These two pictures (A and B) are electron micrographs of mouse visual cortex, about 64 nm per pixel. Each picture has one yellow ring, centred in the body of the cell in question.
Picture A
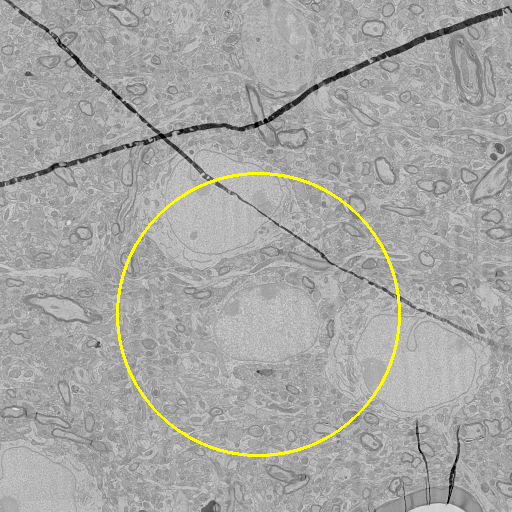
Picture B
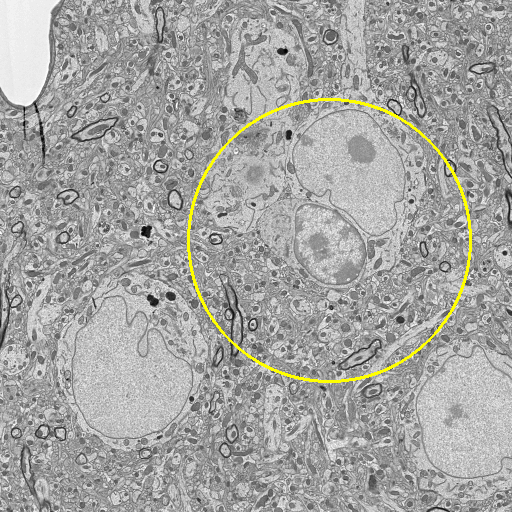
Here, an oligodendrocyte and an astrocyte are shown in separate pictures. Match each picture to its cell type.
The cell in picture A is an astrocyte, and the one in picture B is an oligodendrocyte.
